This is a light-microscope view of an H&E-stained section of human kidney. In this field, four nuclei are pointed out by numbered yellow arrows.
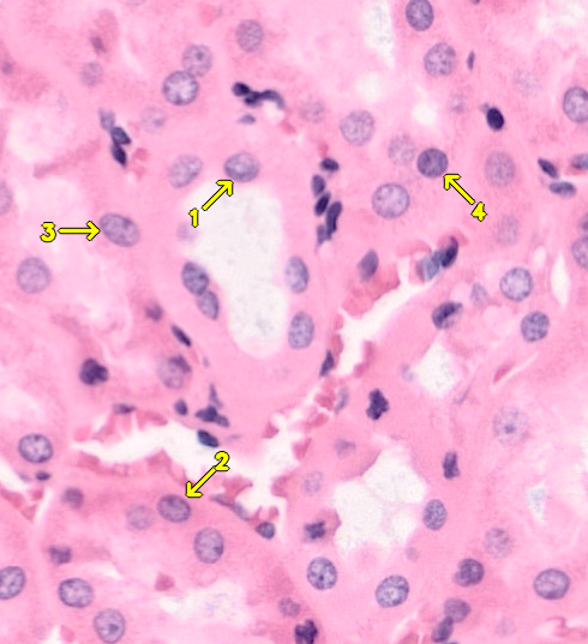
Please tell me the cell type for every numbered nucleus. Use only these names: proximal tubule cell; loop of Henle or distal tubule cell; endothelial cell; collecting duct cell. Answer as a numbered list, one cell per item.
1. loop of Henle or distal tubule cell
2. proximal tubule cell
3. proximal tubule cell
4. proximal tubule cell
